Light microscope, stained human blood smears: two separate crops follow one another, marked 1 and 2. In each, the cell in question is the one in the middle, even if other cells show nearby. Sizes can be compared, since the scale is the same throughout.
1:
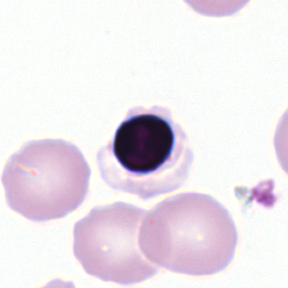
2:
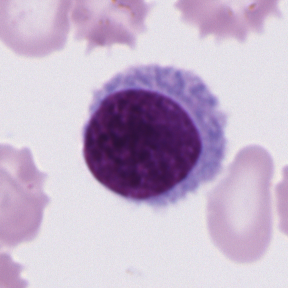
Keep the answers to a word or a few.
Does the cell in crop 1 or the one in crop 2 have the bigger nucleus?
2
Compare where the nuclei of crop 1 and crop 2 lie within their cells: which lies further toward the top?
1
